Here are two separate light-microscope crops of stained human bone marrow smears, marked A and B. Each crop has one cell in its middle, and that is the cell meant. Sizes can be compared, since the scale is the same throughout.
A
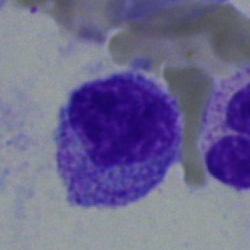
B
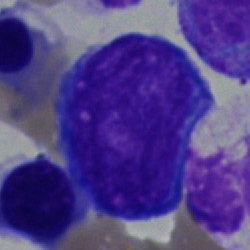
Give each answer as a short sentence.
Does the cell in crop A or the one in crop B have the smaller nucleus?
The nucleus in crop A is smaller; the one in crop B has about 2.5 times its area.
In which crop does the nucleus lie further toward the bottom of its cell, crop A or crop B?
In crop B the nucleus is shifted more toward the bottom.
